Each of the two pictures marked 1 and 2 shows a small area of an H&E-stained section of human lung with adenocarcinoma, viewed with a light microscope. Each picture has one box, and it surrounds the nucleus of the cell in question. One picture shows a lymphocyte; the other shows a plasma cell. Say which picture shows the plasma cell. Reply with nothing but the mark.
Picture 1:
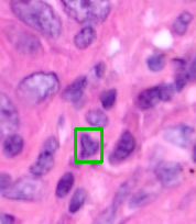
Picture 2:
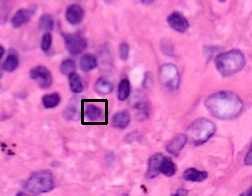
1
